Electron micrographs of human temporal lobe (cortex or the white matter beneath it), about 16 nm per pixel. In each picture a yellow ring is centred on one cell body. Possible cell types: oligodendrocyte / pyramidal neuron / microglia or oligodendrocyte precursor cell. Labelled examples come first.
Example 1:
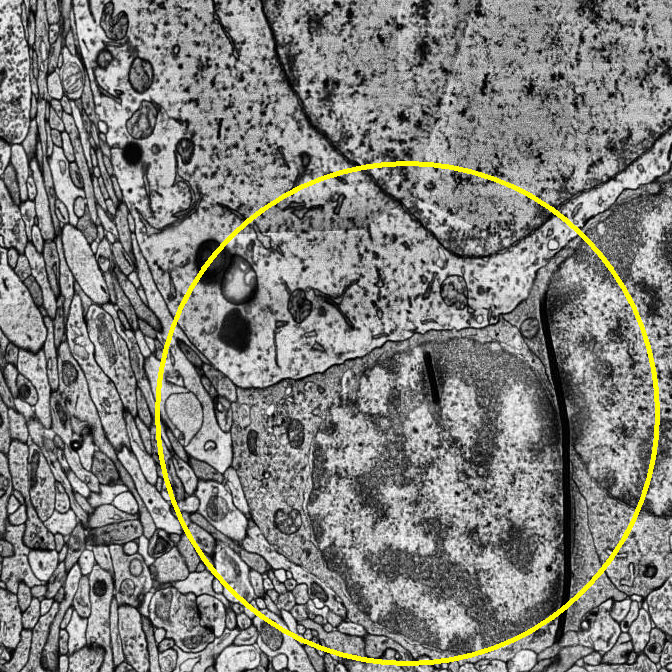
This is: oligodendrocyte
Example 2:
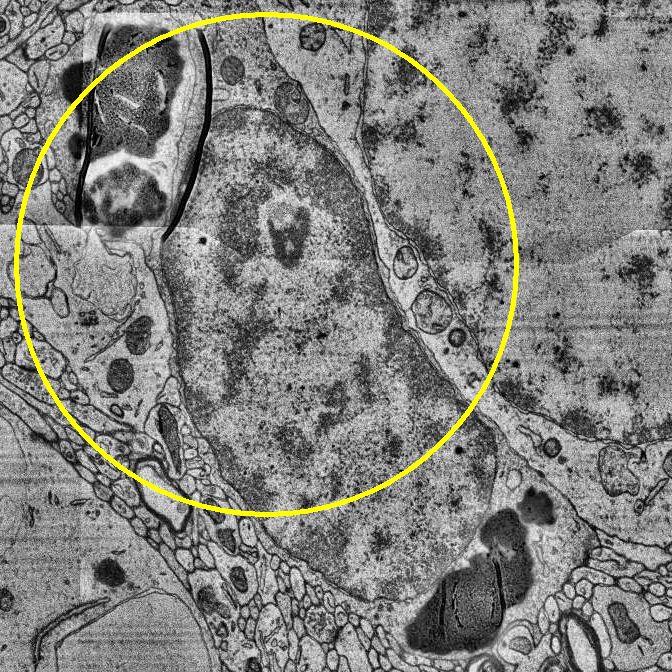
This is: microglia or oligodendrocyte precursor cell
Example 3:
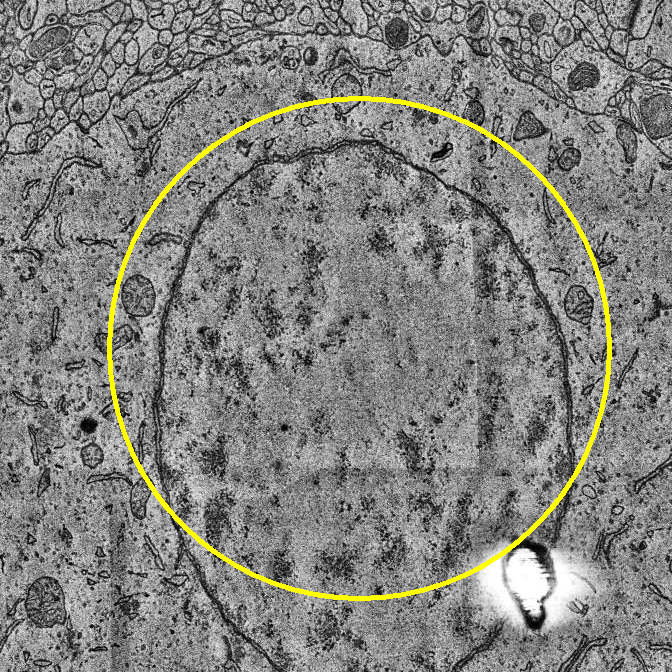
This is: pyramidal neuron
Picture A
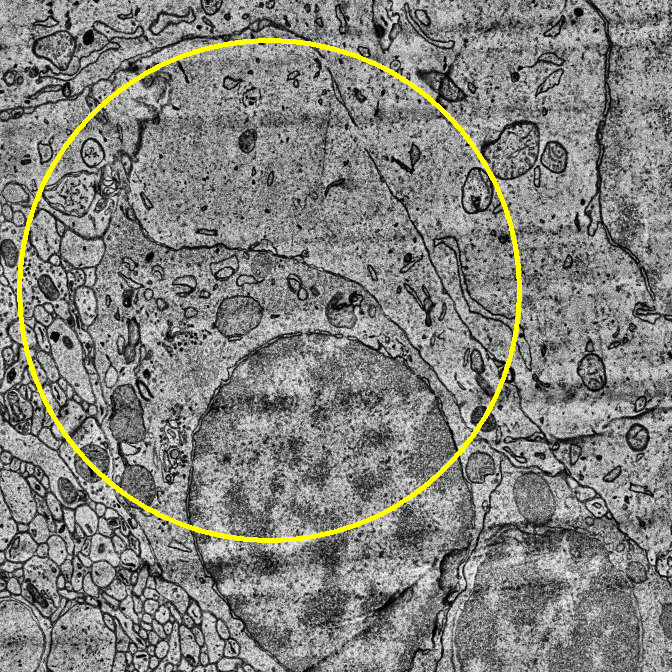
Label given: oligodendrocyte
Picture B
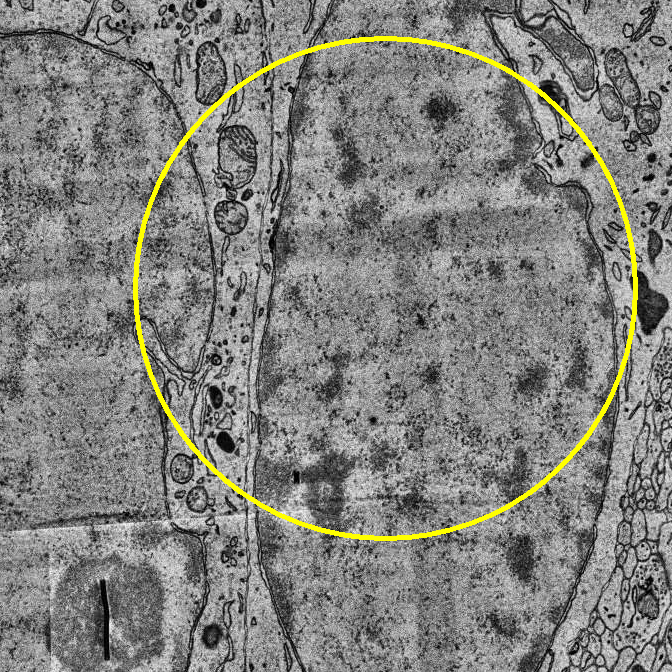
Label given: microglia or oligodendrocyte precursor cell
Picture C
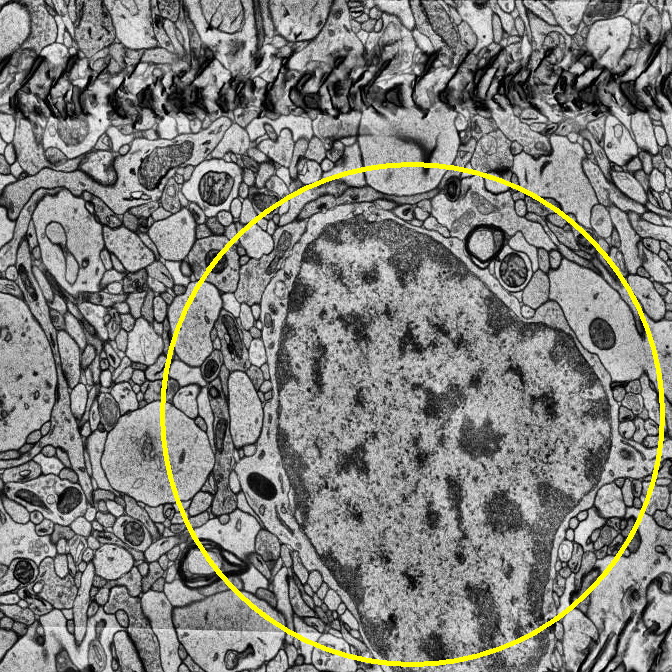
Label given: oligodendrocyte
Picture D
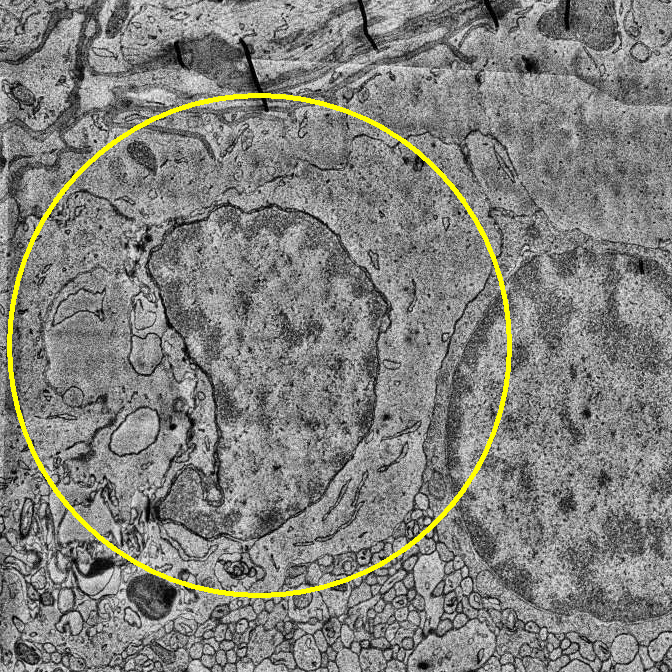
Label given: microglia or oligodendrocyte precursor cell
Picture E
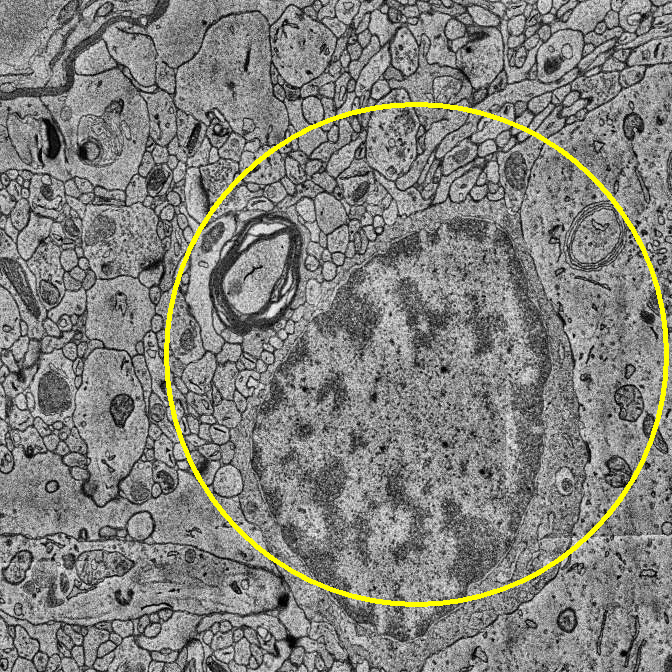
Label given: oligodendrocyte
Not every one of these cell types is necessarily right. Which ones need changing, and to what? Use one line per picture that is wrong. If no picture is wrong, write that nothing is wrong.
C: change oligodendrocyte to microglia or oligodendrocyte precursor cell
